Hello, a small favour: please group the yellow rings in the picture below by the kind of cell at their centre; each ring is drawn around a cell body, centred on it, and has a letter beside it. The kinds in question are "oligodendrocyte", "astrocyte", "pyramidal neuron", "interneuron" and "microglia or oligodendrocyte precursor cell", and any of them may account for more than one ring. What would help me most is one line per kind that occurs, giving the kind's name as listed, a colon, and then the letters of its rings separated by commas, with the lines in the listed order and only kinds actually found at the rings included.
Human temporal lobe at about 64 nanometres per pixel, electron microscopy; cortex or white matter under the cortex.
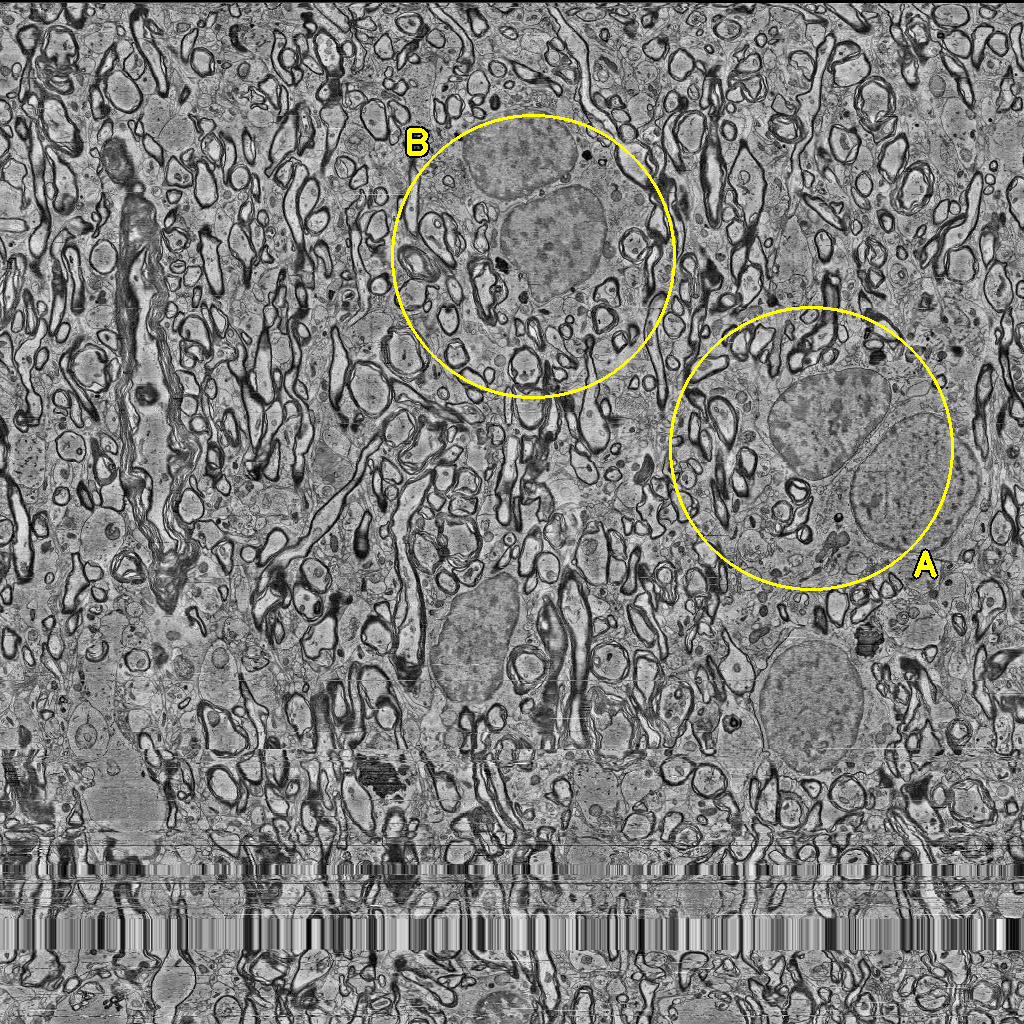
oligodendrocyte: B
microglia or oligodendrocyte precursor cell: A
